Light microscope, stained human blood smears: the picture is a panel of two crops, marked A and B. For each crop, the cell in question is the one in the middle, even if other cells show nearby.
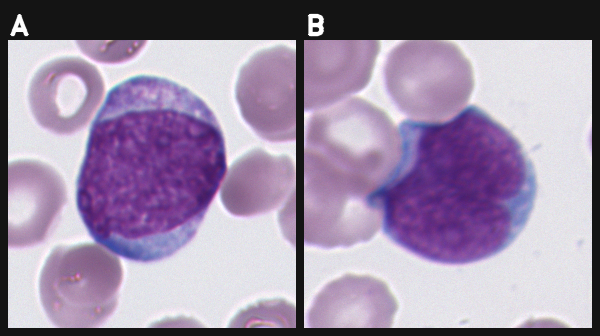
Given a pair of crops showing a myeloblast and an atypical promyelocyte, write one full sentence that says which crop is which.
At the centre of crop A lies an atypical promyelocyte, and at the centre of crop B lies a myeloblast.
